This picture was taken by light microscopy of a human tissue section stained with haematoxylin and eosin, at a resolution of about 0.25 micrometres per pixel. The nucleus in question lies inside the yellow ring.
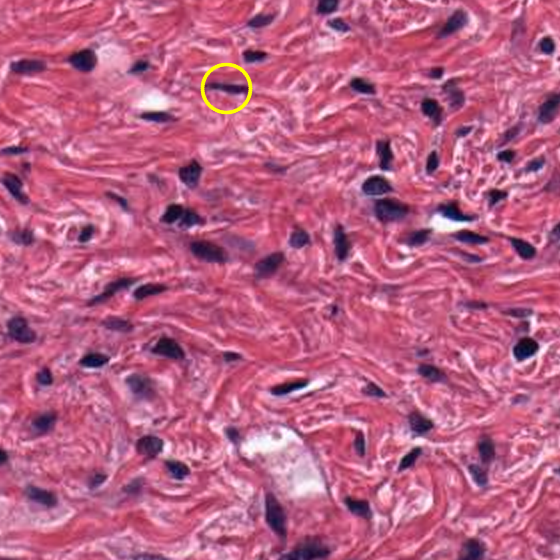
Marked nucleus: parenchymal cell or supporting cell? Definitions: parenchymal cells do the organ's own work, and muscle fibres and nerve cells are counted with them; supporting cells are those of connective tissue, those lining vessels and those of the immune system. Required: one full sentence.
Among the cells in view, a supporting cell holds the marked nucleus.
